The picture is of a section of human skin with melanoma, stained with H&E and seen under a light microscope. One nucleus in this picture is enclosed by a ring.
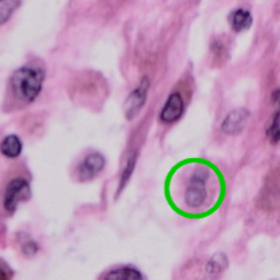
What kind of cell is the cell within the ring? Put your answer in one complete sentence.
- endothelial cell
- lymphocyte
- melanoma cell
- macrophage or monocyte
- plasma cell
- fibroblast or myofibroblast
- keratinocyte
In cellular terms, the cell within the ring is a macrophage or monocyte.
